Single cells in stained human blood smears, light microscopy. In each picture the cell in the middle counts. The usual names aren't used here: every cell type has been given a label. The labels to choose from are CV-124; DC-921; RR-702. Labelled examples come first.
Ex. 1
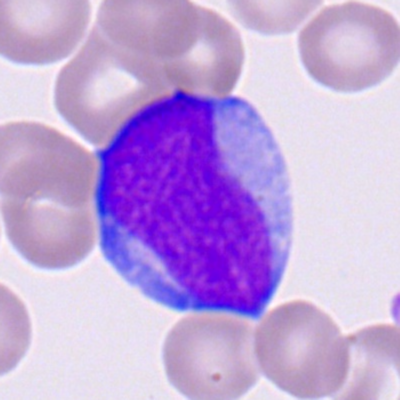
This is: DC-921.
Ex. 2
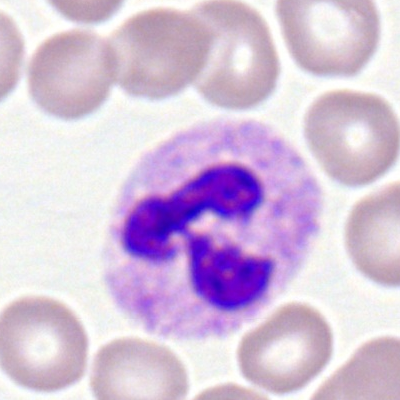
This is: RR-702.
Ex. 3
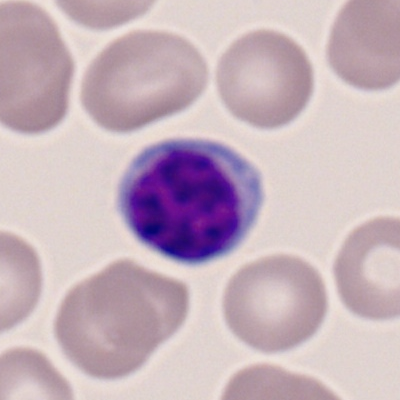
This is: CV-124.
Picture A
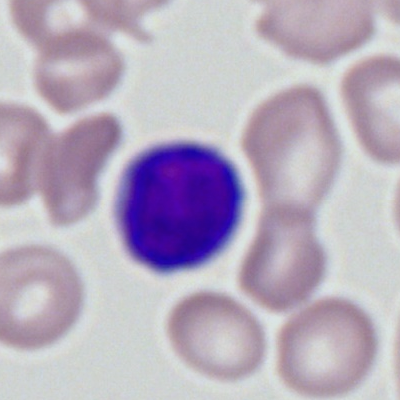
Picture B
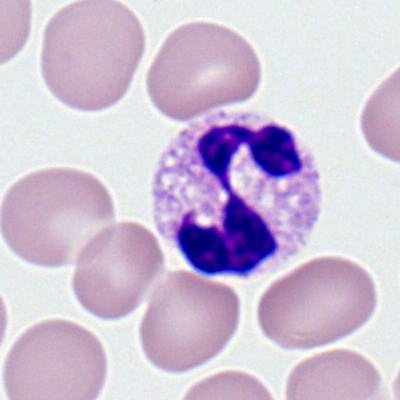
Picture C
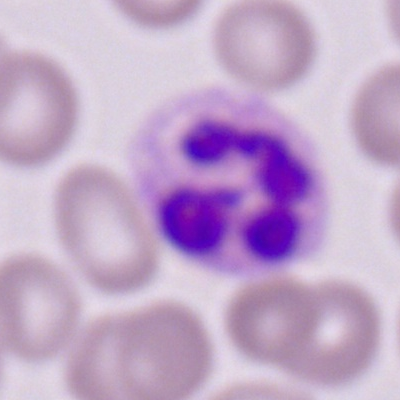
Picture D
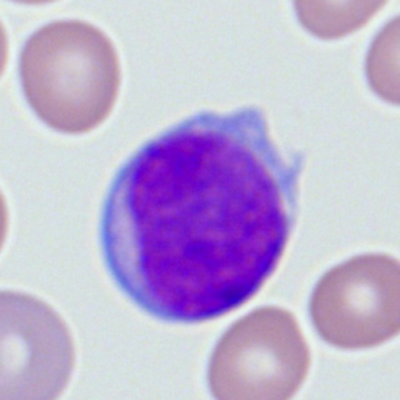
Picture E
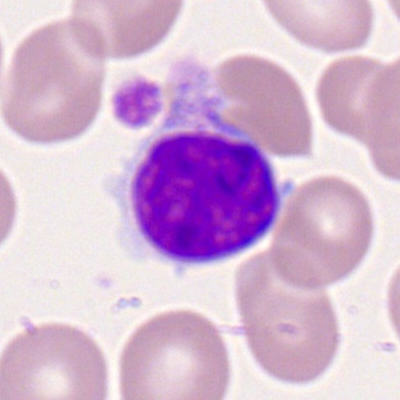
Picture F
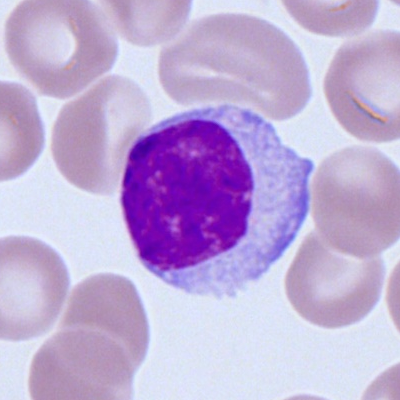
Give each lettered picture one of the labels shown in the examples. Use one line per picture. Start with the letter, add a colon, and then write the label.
A: CV-124.
B: RR-702.
C: RR-702.
D: DC-921.
E: CV-124.
F: CV-124.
